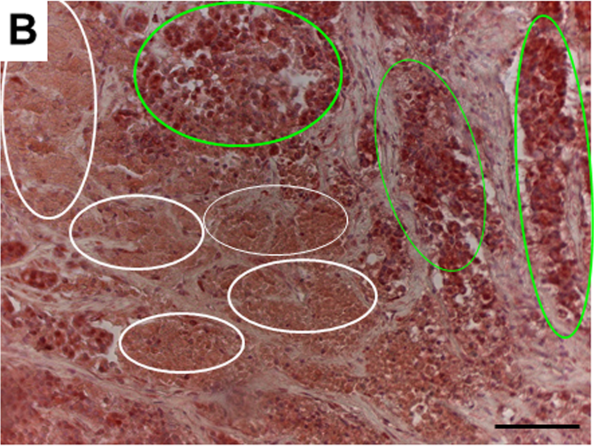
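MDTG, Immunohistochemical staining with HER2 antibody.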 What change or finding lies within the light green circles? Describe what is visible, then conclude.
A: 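Tumor growth. Inside the green circles cells are densely packed with crisp outlines. These cells stain deeper brown than cells elsewhere.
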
